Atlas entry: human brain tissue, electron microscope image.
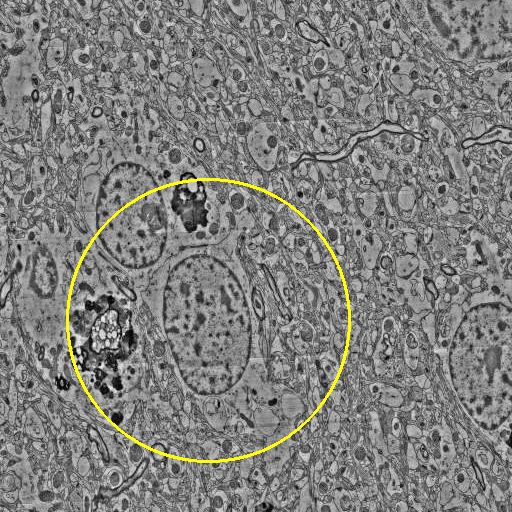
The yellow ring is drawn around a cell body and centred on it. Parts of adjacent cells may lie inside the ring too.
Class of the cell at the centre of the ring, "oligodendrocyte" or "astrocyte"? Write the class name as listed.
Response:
astrocyte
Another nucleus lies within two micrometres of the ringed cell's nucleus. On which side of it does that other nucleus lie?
The other one is to the upper left of it.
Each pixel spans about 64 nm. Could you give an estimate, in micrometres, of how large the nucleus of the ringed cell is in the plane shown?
The nucleus is about 9 micrometres in length and 5 in width, clearly longer than it is wide in this plane.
